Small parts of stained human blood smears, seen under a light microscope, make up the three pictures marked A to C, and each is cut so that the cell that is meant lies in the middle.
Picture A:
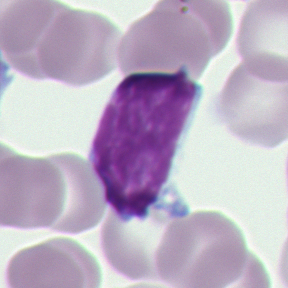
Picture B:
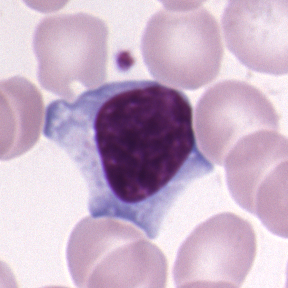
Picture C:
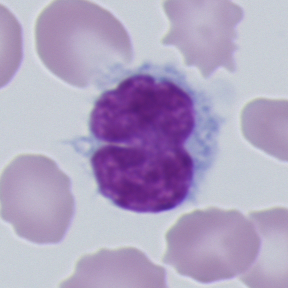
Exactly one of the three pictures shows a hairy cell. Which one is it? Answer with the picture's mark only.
C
